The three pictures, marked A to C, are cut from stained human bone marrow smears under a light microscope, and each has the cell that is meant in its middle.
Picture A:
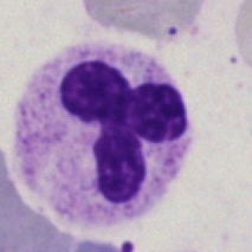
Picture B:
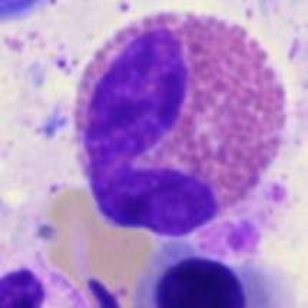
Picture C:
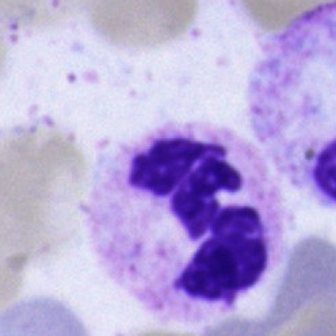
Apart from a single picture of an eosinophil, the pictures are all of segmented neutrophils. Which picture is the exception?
B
